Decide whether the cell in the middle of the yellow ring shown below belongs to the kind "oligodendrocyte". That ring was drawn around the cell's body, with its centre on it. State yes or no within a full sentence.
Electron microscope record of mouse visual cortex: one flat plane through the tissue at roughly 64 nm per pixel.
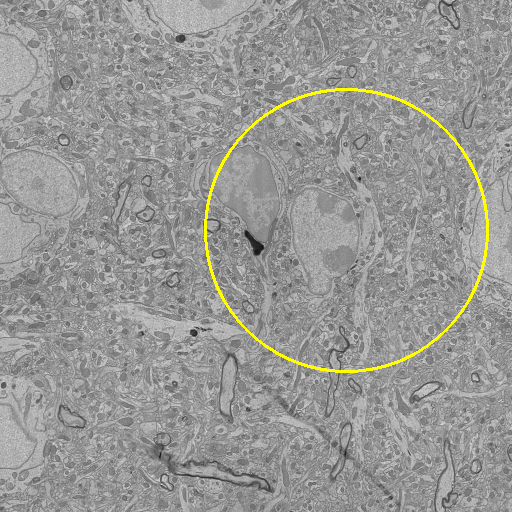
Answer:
No, the cell whose body lies at the ring's centre in the picture belongs to a different kind.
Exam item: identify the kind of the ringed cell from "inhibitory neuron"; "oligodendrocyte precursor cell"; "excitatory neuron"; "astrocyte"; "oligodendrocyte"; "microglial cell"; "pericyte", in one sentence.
It is an oligodendrocyte precursor cell that the ring is centred on.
